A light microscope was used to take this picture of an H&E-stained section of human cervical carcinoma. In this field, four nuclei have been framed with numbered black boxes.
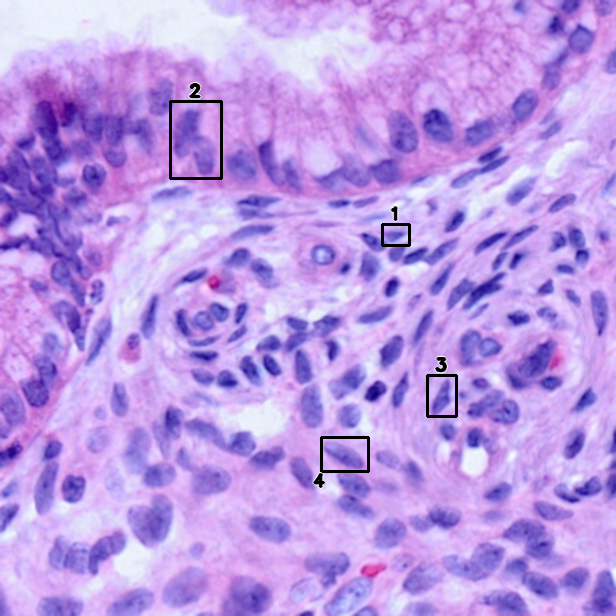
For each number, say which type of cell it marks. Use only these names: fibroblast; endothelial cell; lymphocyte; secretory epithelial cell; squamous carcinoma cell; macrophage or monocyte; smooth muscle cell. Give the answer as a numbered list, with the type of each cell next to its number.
1. fibroblast
2. secretory epithelial cell
3. fibroblast
4. fibroblast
